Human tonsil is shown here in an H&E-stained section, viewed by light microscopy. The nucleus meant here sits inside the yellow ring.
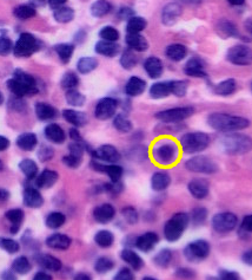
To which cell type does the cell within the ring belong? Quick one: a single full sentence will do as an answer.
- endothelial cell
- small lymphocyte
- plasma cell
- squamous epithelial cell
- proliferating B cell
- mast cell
As for its identity, the cell within the ring is an endothelial cell.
